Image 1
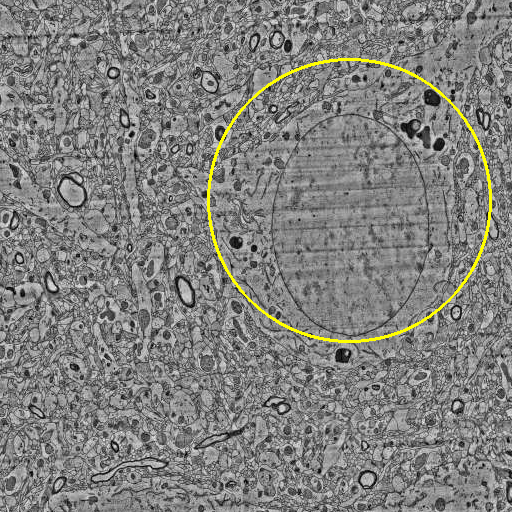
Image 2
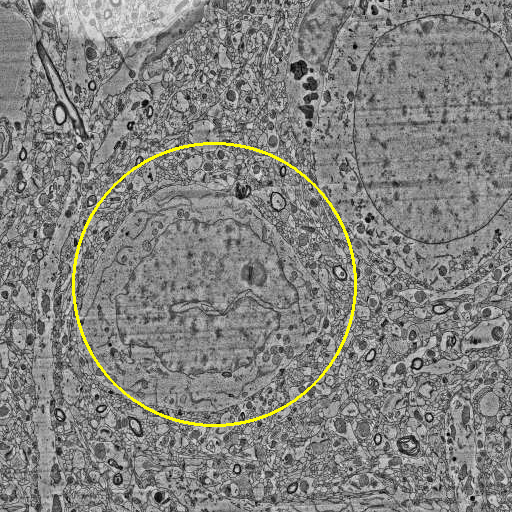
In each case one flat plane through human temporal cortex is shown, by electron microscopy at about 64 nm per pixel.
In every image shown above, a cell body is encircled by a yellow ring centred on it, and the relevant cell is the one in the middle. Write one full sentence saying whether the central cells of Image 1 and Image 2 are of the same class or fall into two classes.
The cell at the ring's centre in Image 1 and its counterpart in Image 2 fall into two classes.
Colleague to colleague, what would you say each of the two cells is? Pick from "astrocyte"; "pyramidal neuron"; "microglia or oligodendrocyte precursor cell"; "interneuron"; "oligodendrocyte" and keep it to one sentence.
The cell in the first picture is a pyramidal neuron; the second picture's cell is an interneuron.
